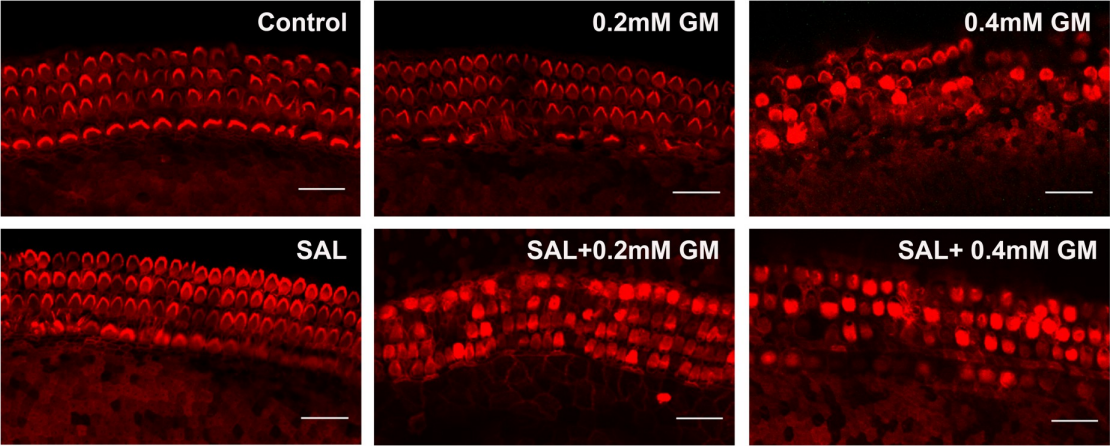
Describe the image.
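This is a surface view of the cochlear sensory epithelium, with red marking the hair bundles on top of the hair cells. In the orderly images, three regular rows of V-shaped bundles of the outer hair cells lie above a single row of flatter, crescent-shaped bundles of the inner hair cells.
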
